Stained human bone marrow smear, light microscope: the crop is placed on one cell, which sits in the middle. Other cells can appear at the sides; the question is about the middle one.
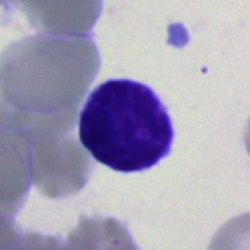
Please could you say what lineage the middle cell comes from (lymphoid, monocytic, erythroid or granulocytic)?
lymphoid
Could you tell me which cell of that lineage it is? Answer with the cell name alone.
lymphocyte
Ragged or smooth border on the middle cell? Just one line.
Its surface contour is regular and smooth, without any protrusions.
